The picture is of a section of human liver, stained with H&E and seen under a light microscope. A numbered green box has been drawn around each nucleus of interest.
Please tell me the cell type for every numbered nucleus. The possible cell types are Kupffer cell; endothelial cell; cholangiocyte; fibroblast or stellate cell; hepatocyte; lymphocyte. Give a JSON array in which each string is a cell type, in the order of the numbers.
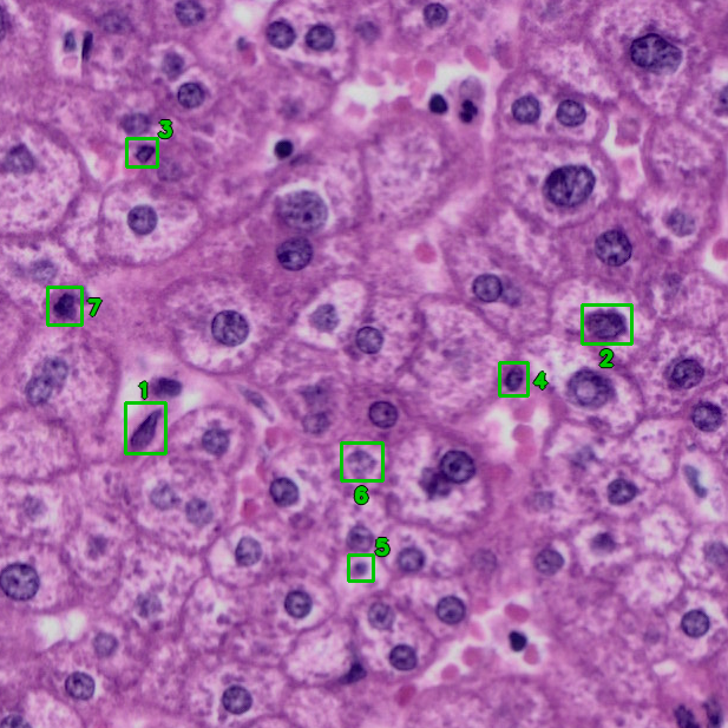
["Kupffer cell", "hepatocyte", "fibroblast or stellate cell", "fibroblast or stellate cell", "lymphocyte", "hepatocyte", "fibroblast or stellate cell"]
